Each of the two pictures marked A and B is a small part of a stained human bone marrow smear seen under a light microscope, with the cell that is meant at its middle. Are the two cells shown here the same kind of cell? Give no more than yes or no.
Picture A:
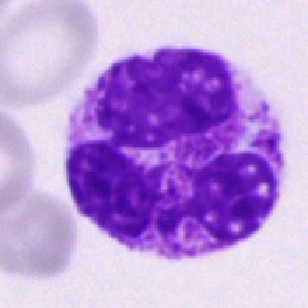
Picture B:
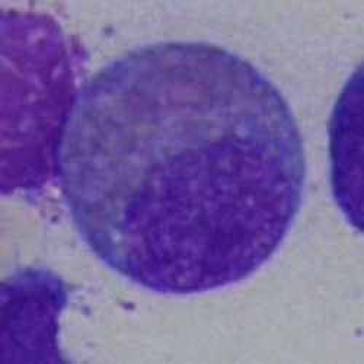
no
